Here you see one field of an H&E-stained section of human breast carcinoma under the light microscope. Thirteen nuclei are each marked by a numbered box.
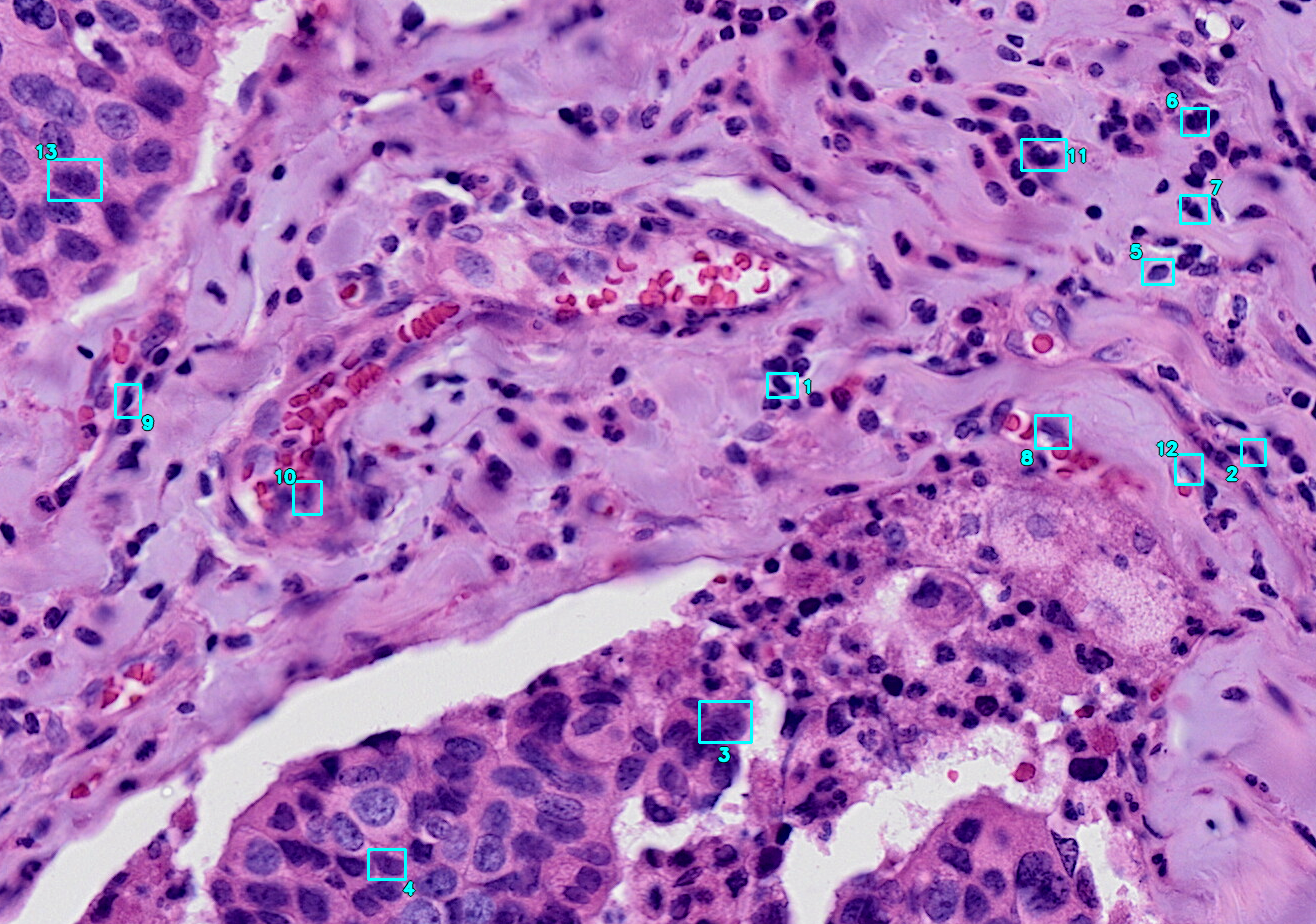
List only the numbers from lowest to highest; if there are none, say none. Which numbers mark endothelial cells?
8, 10, 12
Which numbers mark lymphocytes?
1, 2, 5, 6, 7, 9, 11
